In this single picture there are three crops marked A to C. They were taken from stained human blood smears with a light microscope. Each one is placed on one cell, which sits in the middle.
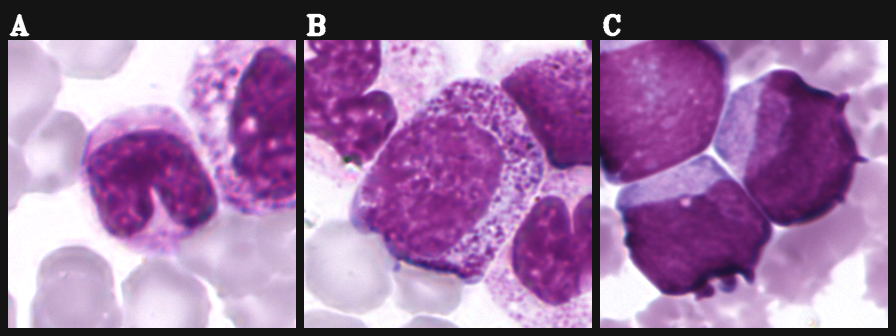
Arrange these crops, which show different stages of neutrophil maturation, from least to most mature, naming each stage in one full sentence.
The ordering by maturity, from earliest to most mature, is crop C (a myeloblast), crop B (a myelocyte) and crop A (a band neutrophil).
